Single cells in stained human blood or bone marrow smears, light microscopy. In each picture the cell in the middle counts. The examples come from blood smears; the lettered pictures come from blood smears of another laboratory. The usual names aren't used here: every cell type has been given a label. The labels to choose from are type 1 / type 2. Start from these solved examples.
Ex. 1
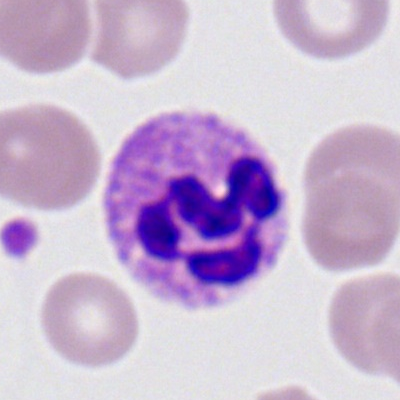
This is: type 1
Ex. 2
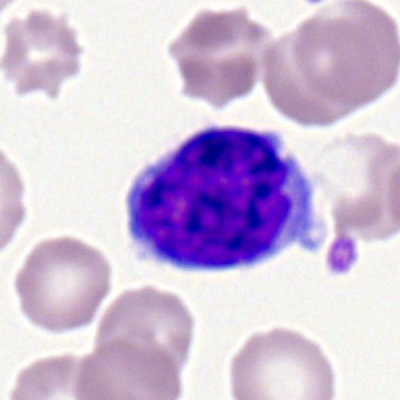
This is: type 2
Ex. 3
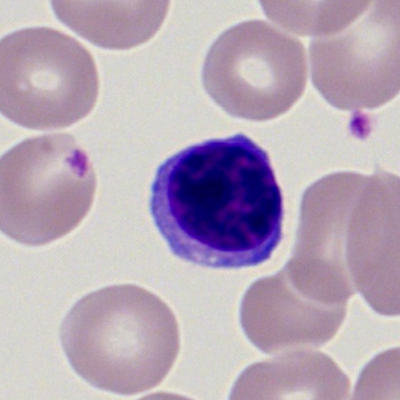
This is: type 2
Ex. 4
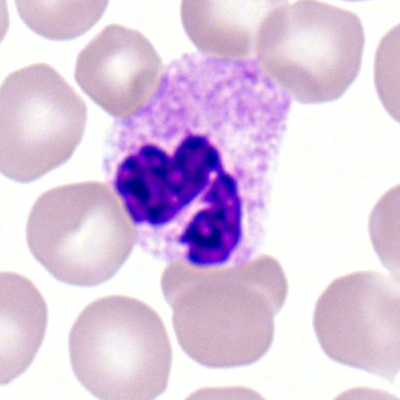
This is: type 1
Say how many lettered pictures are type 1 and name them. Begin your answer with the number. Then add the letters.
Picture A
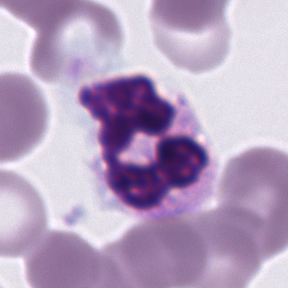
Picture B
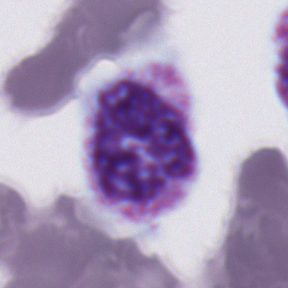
2: A, B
